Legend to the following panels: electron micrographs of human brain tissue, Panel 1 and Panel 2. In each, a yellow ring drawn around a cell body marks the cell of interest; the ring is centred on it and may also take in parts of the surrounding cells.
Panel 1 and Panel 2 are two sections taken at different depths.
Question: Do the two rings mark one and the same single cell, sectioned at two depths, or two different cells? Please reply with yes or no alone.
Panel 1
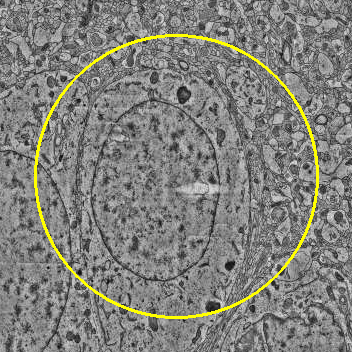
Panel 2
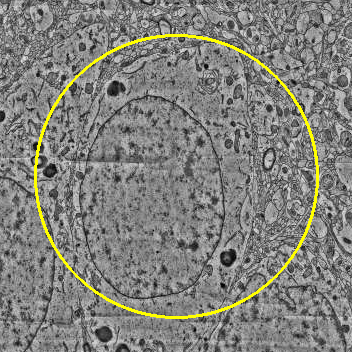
yes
